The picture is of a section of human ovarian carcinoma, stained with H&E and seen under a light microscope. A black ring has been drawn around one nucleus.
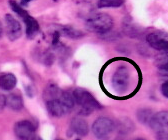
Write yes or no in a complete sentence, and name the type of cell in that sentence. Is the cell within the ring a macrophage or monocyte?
Yes, the cell within the ring is one that is classed as a macrophage or monocyte.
